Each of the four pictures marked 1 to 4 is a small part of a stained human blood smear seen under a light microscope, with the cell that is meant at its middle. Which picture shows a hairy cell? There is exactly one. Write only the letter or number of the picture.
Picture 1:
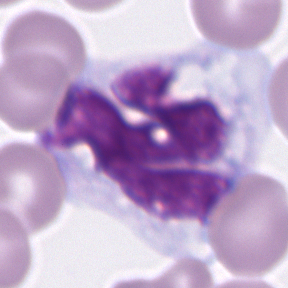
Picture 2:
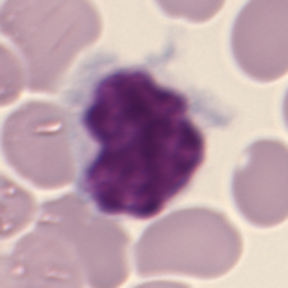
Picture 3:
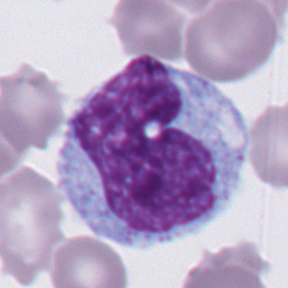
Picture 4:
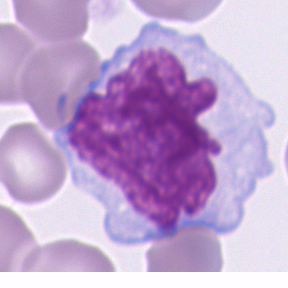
2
